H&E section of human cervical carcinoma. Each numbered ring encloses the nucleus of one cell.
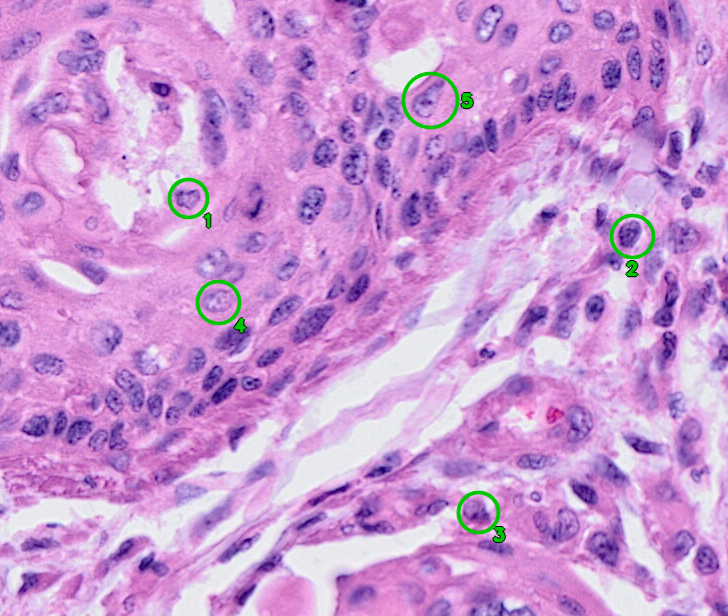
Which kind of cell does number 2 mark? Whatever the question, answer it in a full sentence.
The cell to which the number 2 is assigned is a lymphocyte.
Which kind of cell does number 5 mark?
The label 5 in this section denotes a squamous carcinoma cell.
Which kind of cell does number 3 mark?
The cell identified by number 3 is a macrophage or monocyte.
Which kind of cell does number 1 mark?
The numeral 1 marks a squamous carcinoma cell in this section.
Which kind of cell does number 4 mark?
The cell pointed out as number 4 is a squamous carcinoma cell.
